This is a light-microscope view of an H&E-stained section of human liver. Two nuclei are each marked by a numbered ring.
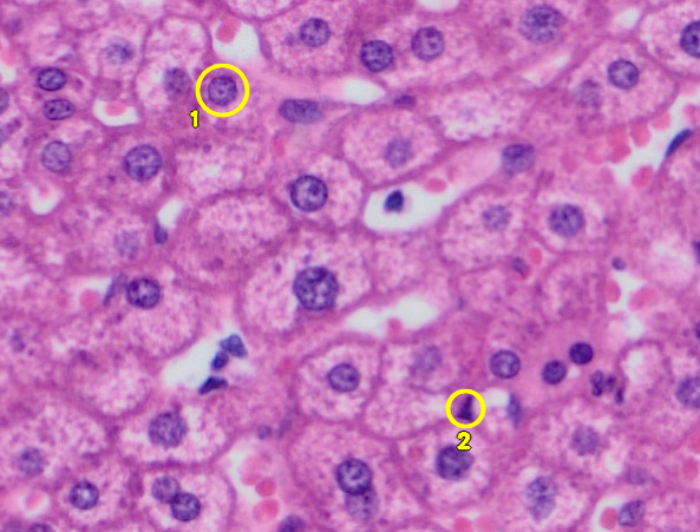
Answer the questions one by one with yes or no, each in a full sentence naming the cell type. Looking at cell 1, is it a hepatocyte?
Yes, cell number 1 in this section is a hepatocyte.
